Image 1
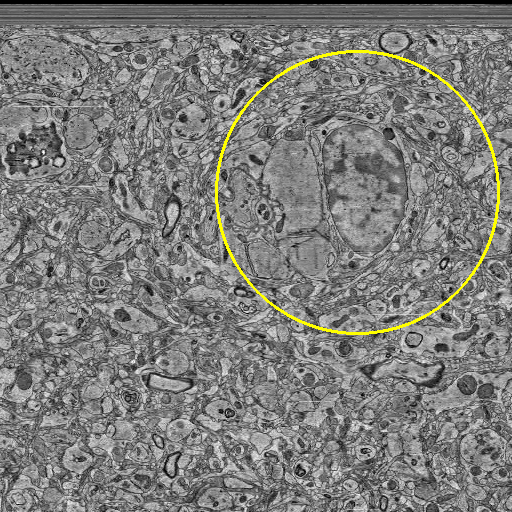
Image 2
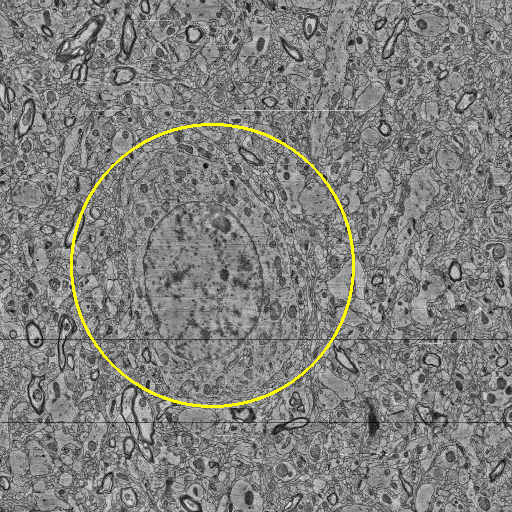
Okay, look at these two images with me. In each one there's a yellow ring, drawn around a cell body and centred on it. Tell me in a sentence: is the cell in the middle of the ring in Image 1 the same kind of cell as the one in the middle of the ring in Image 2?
No, they're two kinds of cell.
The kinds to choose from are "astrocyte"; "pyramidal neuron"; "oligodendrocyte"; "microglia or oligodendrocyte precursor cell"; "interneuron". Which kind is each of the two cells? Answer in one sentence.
Of the two, the first cell is a microglial cell or oligodendrocyte precursor cell and the second cell is an interneuron.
